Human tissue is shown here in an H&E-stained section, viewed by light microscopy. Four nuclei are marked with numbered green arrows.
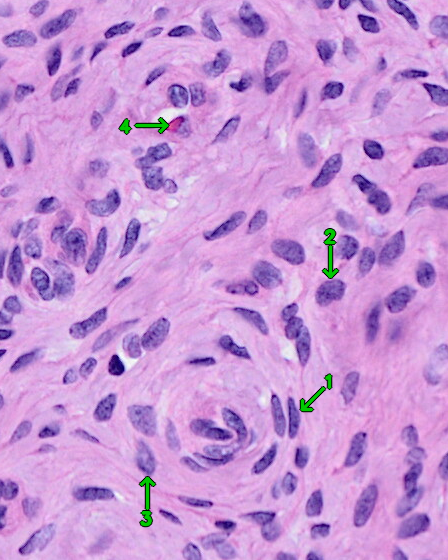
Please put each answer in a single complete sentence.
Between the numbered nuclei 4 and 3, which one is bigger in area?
Nucleus 3 covers more area, about 1.5 times as much as nucleus 4.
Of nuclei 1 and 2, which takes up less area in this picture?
Nucleus 1 is the smaller one; nucleus 2 covers about 1.5 times its area.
